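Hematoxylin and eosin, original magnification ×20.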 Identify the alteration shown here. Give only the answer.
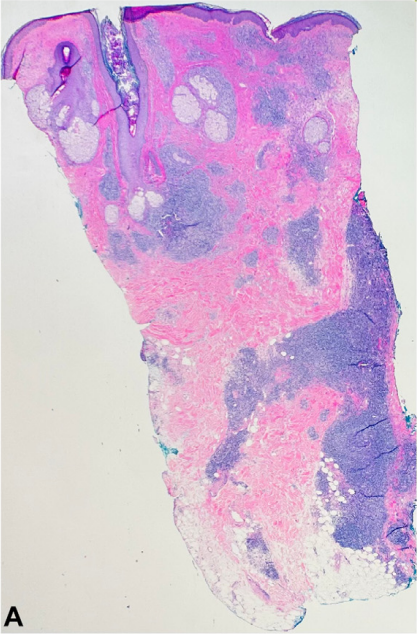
Superficial and deep dermal lymphoid infiltrate.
